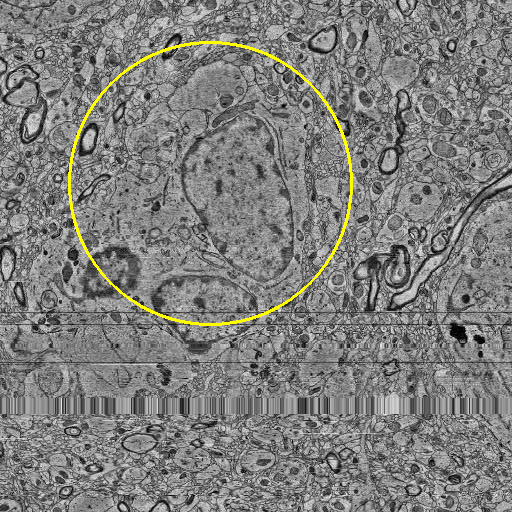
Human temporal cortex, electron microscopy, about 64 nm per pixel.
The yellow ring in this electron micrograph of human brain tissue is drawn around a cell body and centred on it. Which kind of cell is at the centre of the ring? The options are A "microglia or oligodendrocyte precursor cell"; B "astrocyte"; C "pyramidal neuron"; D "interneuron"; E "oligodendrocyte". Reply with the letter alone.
A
